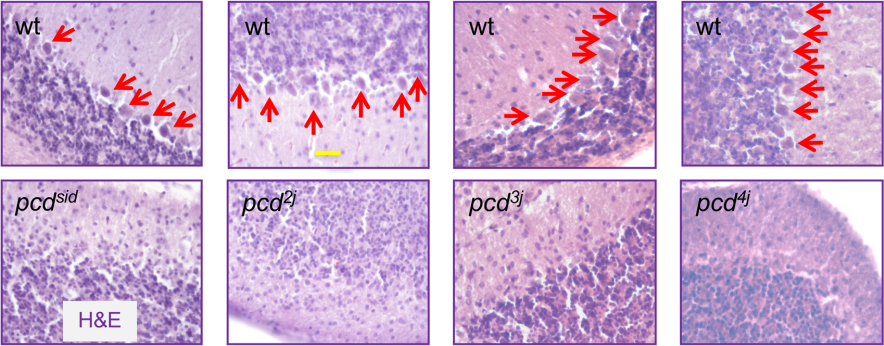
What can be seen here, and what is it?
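This is a grid of cerebellar cortex sections stained with hematoxylin and eosin, showing the granular layer and the molecular layer. The granular layer is a dense mass of small, dark purple nuclei, and the molecular layer above it stains pale pink-violet. In the upper four images, large cells with more cytoplasm are arranged in a single row at the boundary between the two layers, and red arrows point to them. In the lower four images, this row of large cells cannot be seen. Small dark nuclei run straight up to the paler layer.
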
